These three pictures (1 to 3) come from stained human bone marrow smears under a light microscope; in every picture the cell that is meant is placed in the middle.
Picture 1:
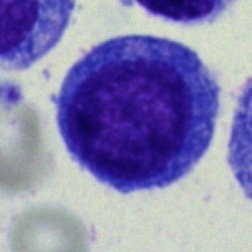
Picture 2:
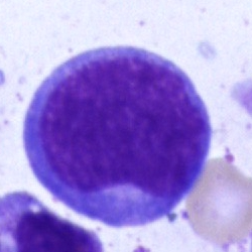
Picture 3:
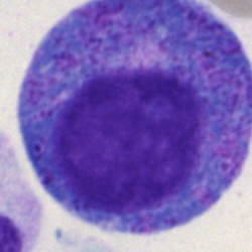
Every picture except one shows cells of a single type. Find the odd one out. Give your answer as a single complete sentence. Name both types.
Picture 3 differs, because its cell is a promyelocyte and the rest are blasts.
